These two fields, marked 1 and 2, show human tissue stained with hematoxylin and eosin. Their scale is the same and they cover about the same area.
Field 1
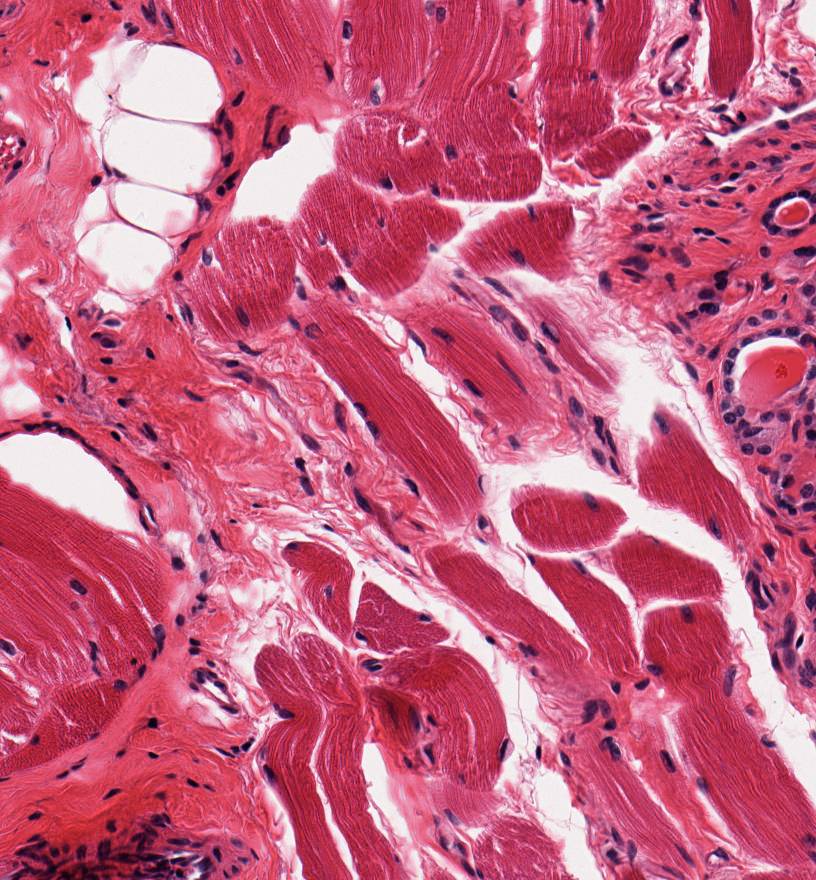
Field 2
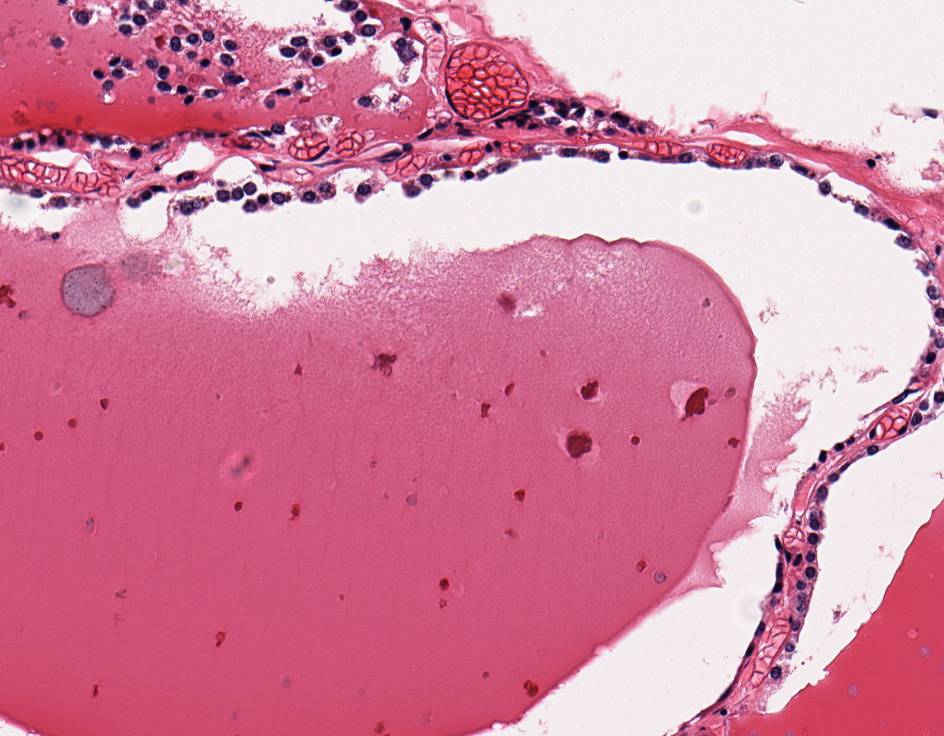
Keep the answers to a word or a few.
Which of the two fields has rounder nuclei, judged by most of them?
2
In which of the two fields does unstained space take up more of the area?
2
